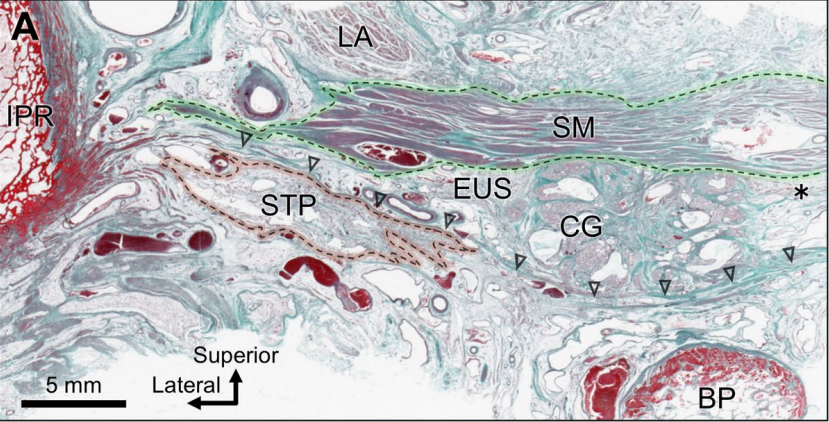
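This section of the perineum shows several muscle and glandular components embedded in connective tissue. A transversely running band of muscle fibres, outlined by a dashed line, lies above a lobulated gland made of rounded acini separated by greenish fibrous septa. Below and to the side lies a smaller muscle bundle surrounded by pale, loose adipose tissue, and large blood vessels filled with red-stained blood are scattered through the connective tissue.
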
